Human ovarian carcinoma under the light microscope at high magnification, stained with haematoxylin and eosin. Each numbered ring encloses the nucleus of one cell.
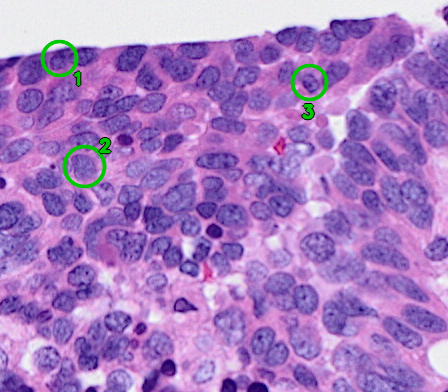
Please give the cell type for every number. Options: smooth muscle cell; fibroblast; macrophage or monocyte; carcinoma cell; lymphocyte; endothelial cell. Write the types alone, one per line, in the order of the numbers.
carcinoma cell
carcinoma cell
macrophage or monocyte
